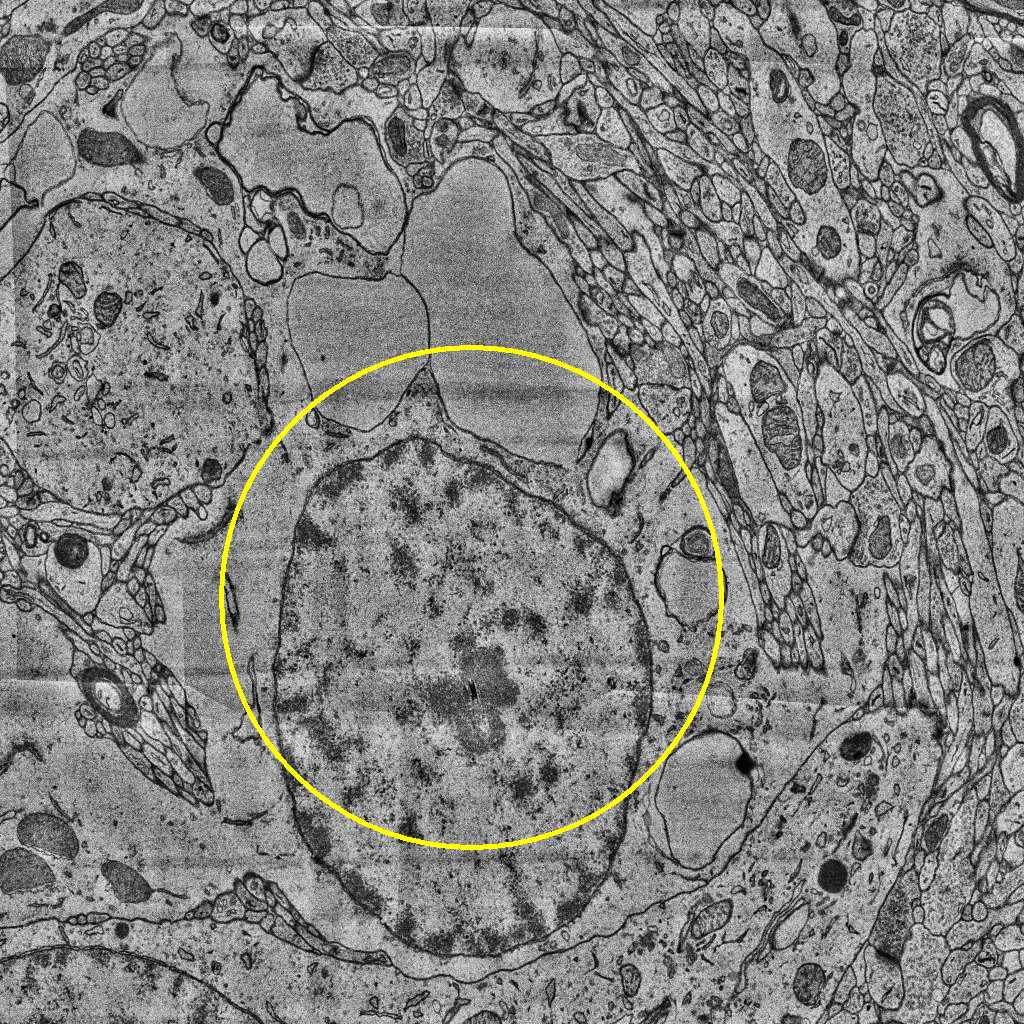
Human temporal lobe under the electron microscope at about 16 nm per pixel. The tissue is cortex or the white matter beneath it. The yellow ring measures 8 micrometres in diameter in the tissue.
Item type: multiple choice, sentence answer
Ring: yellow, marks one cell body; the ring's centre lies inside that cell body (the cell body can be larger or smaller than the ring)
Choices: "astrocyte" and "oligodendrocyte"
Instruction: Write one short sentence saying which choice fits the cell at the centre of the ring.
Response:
The centre of this ring lies on an astrocyte.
